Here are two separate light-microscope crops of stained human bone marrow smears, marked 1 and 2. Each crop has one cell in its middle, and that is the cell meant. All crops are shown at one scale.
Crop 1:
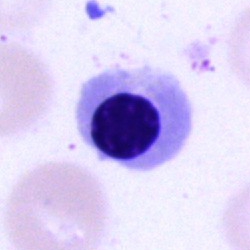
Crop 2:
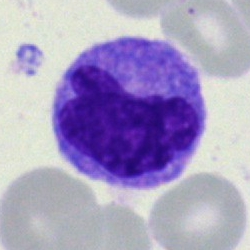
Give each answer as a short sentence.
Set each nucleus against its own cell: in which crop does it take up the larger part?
In crop 2 the nucleus takes up the larger part of its cell.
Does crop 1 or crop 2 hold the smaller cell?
Smaller is the cell in crop 1, and the other is about 2 times as large in area.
